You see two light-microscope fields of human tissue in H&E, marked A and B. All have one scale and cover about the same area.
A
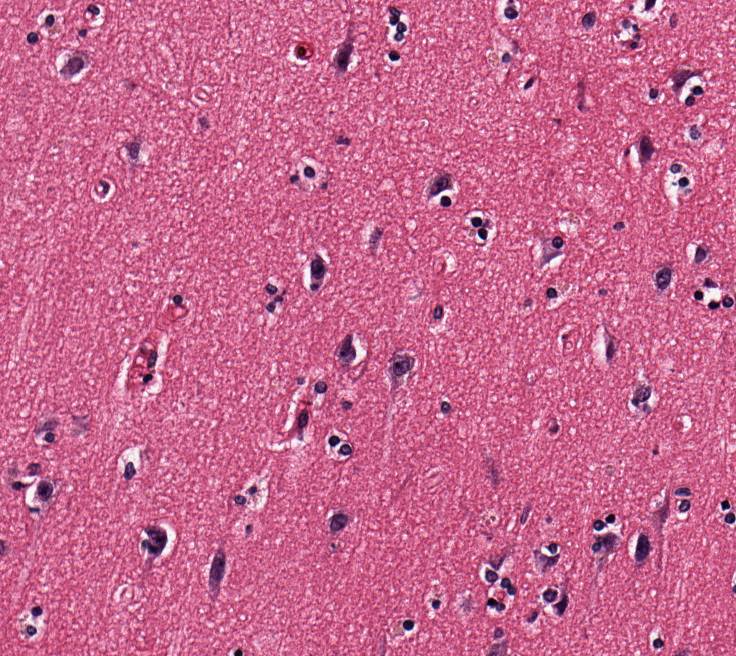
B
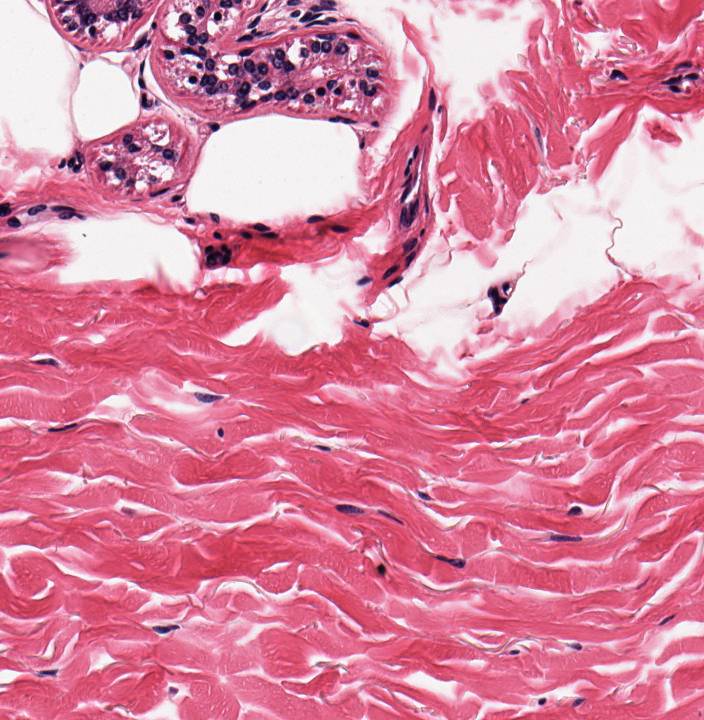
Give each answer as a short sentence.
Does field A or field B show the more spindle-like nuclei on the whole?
It is field B whose nuclei are the more elongated.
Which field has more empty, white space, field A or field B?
Unstained space takes up more of field B than of field A.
